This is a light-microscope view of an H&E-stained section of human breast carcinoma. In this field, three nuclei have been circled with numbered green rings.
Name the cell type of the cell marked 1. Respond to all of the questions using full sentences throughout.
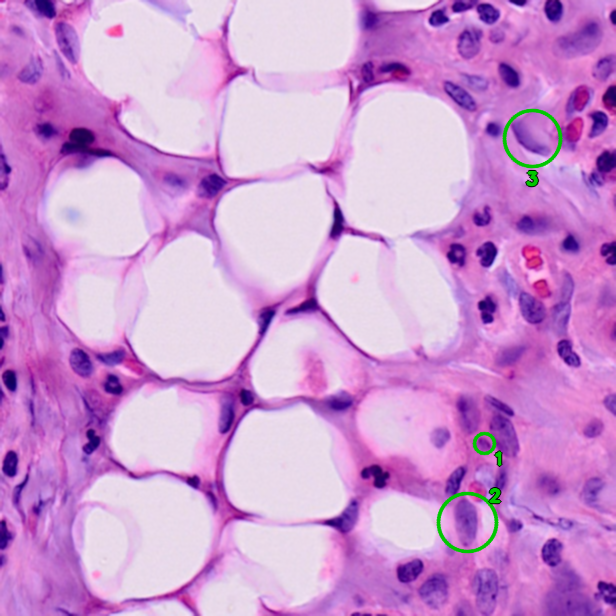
The marked nucleus 1 is that of an endothelial cell.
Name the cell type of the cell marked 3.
In this section, the cell numbered 3 is a fibroblast.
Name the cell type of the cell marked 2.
Cell 2 in the field of view is an endothelial cell.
